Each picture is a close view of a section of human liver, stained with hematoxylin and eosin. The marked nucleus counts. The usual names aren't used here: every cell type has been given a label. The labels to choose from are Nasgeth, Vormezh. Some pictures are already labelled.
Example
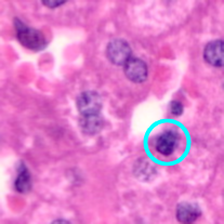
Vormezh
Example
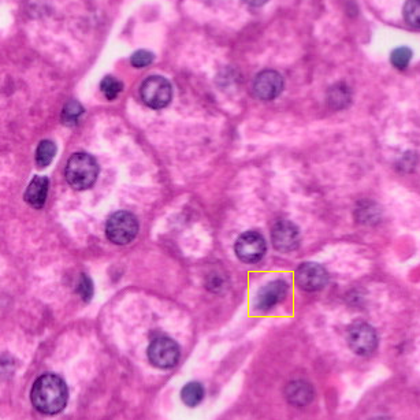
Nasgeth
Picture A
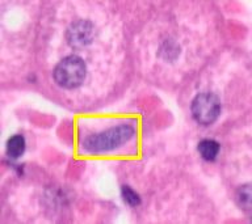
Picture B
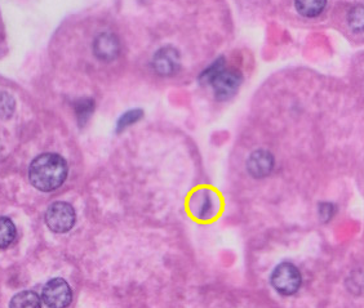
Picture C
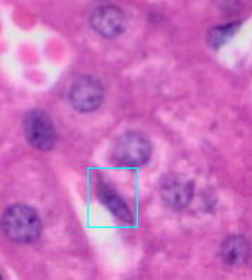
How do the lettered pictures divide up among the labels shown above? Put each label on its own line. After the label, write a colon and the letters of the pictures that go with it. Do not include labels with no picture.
Nasgeth: A, B, C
